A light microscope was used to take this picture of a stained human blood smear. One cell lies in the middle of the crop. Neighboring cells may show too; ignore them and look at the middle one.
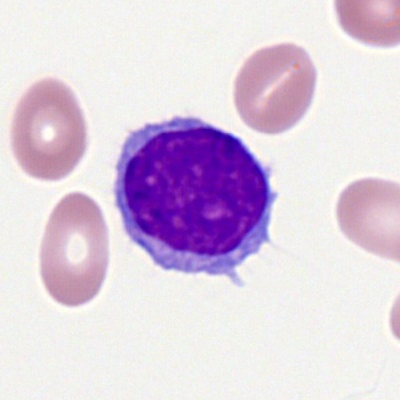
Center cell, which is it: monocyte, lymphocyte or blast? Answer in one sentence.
In the central position of this crop, the cell is a lymphocyte.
